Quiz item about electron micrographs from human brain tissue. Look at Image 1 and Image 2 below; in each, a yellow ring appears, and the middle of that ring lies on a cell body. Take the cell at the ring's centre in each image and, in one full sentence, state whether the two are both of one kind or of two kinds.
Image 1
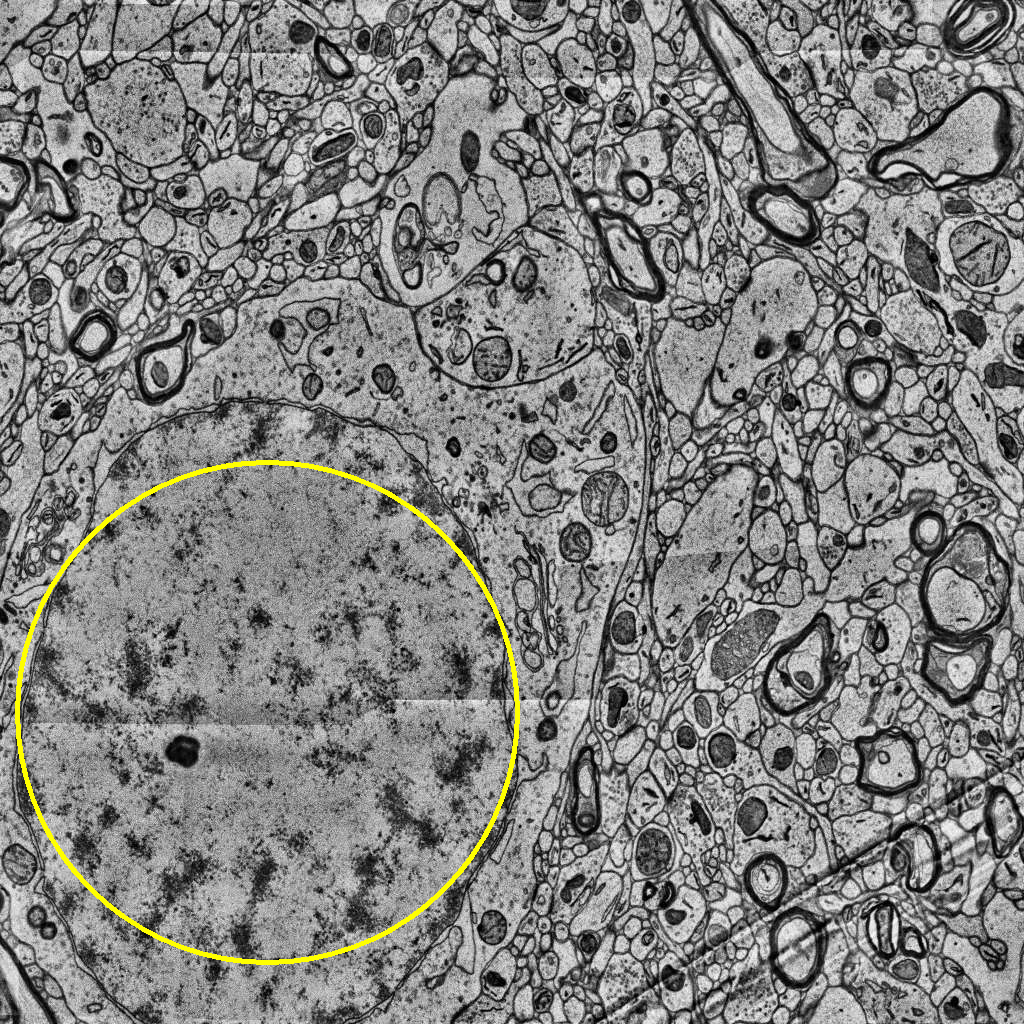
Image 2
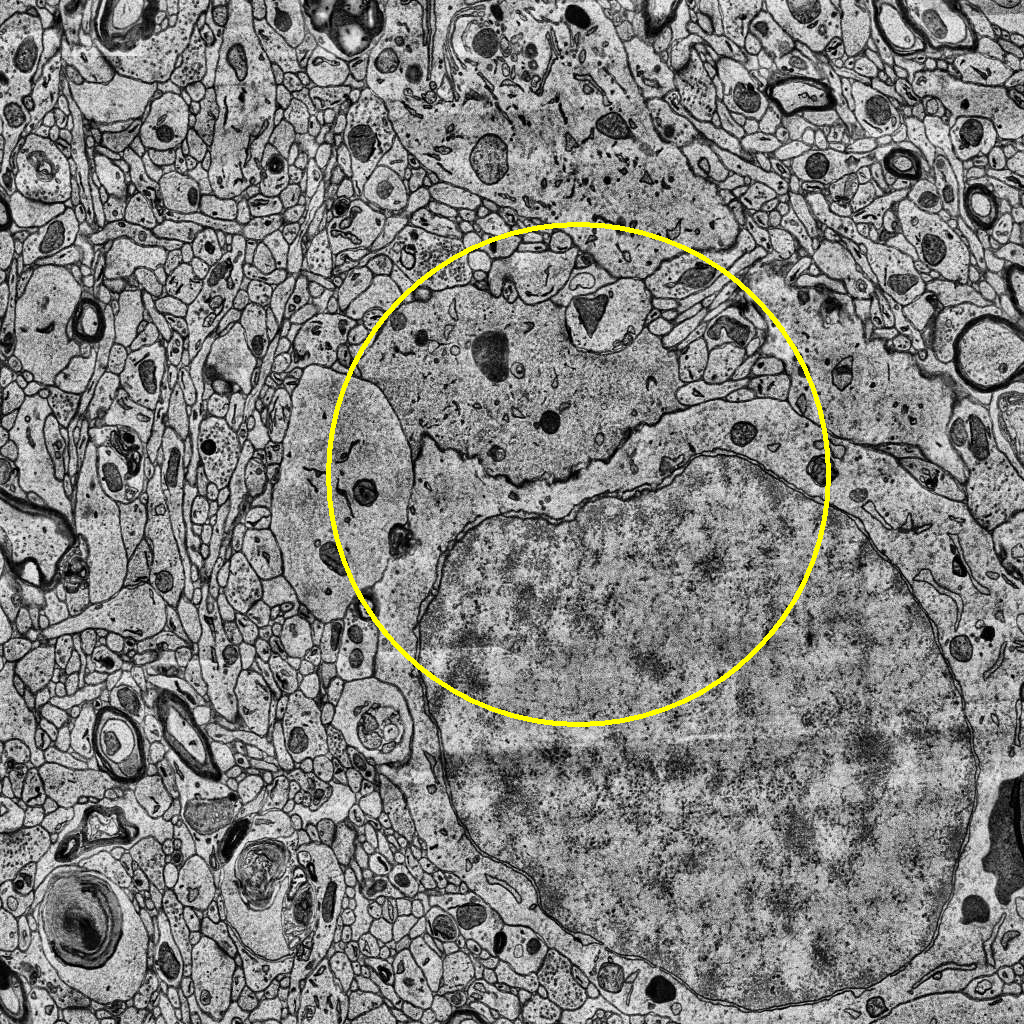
In Image 1 and Image 2, the cells at the ring centres are of two kinds.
